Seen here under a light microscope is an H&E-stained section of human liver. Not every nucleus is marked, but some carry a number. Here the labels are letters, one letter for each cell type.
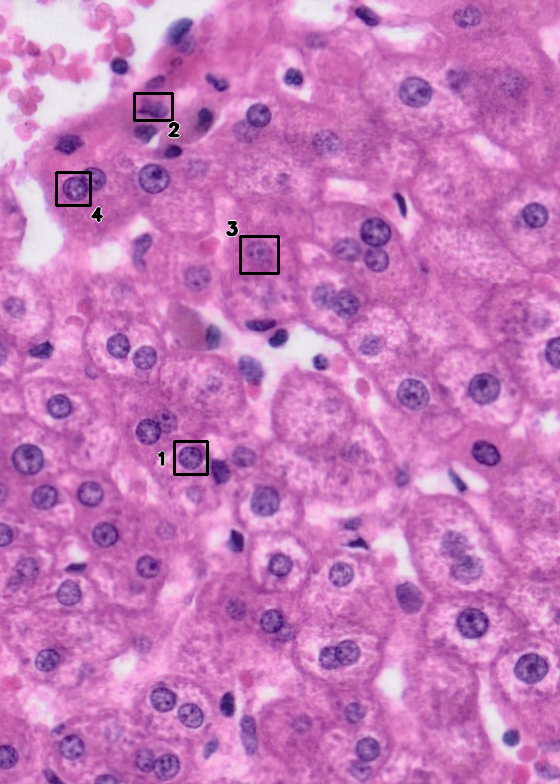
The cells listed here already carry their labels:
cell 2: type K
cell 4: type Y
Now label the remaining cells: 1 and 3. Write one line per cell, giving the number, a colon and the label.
1: type Y
3: type Y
